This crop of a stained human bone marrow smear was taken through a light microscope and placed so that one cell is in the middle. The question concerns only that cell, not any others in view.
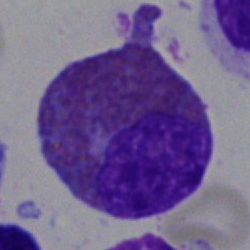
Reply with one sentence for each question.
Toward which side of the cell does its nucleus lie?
Seen from the middle of the cell, the nucleus lies toward the lower right.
